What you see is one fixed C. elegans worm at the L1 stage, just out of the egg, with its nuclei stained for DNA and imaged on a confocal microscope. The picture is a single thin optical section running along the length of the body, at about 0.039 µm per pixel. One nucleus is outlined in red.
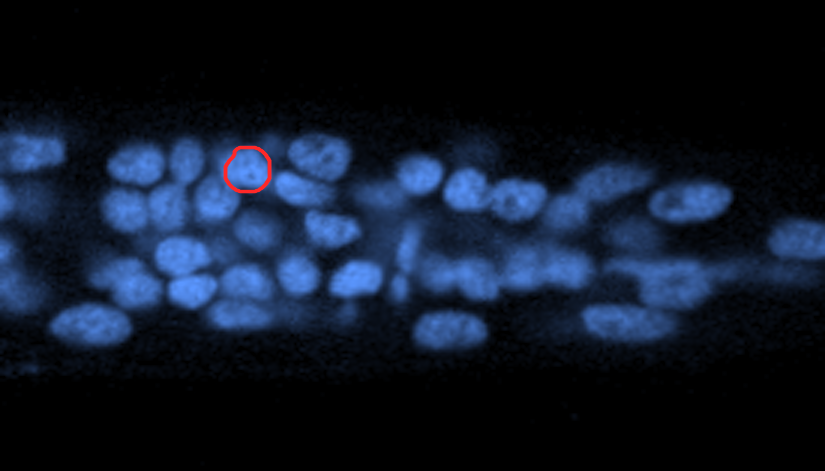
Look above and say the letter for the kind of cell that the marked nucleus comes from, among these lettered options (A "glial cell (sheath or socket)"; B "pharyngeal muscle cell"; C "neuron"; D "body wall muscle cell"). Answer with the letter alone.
A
